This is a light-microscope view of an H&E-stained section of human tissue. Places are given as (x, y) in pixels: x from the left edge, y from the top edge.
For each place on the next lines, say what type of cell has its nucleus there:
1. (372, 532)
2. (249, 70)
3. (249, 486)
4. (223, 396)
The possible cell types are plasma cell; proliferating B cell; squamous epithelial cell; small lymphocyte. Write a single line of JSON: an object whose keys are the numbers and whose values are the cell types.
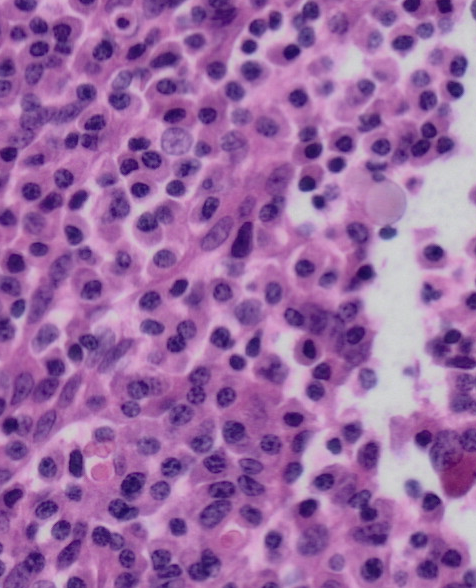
{"1": "squamous epithelial cell", "2": "plasma cell", "3": "plasma cell", "4": "plasma cell"}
